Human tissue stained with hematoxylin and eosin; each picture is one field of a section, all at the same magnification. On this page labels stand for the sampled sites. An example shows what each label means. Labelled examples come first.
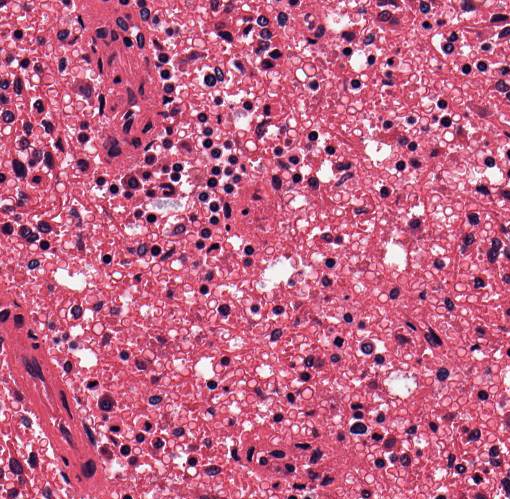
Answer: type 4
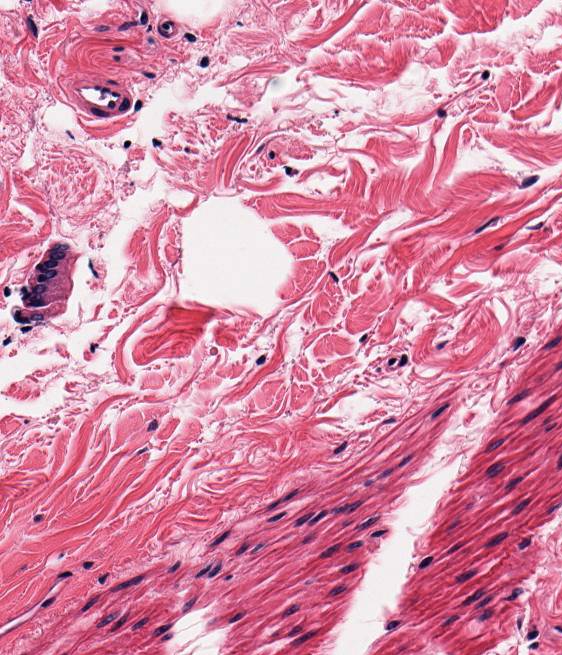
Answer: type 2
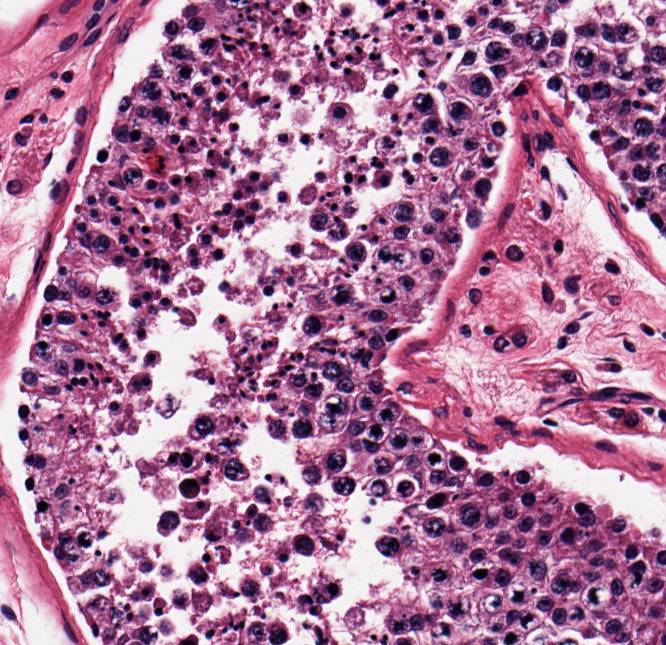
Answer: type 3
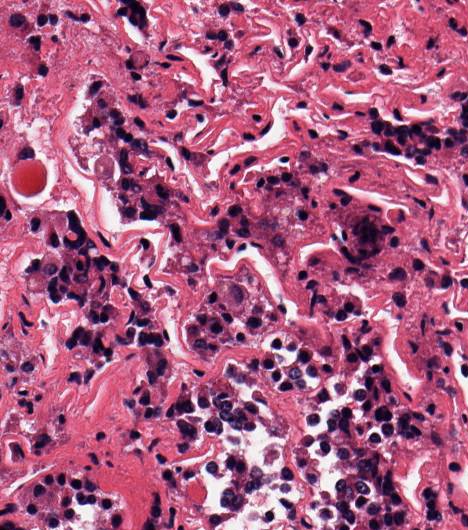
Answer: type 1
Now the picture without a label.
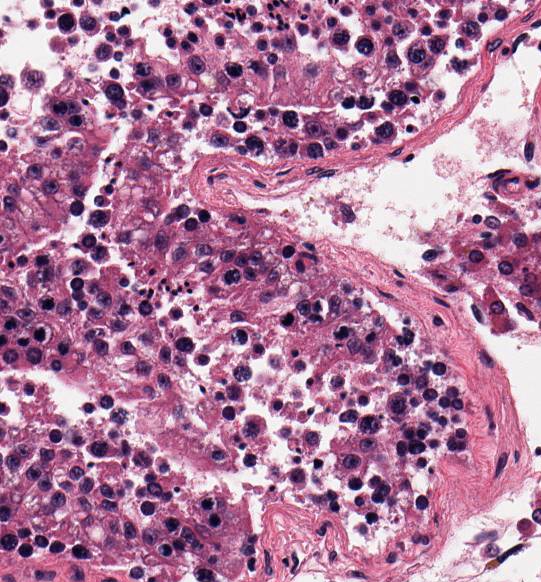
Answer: type 3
